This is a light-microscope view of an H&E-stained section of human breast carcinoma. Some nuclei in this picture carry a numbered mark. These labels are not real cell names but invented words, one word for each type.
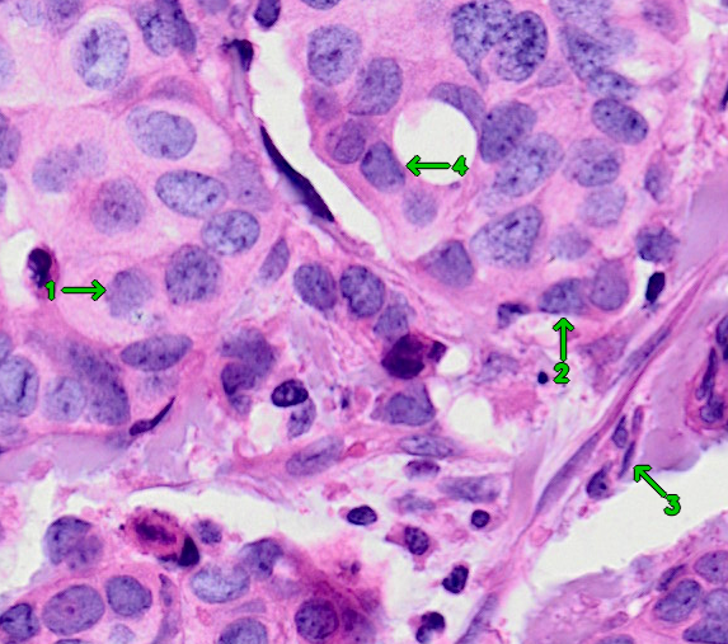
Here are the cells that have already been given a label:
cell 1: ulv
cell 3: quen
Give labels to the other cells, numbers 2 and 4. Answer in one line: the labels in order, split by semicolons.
ulv; ulv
